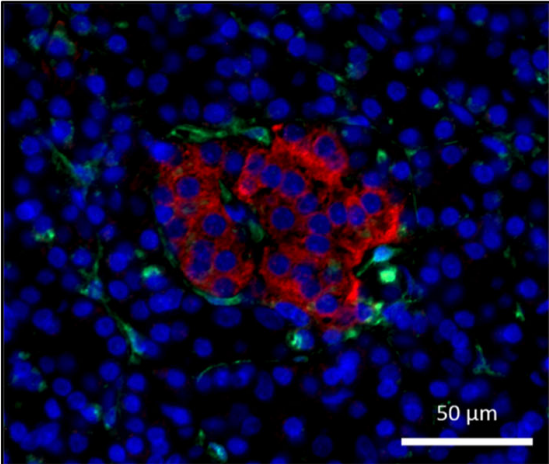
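Pancreatic tissue with an islet at centre: a compact cluster of rounded cells with red cytoplasm and central round blue nuclei, divided by a narrow cleft into two lobes. Around it lie densely packed blue nuclei of the surrounding tissue with no red. Thin, elongated green cells with slender processes run between these surrounding cells; several hug the border of the red cluster and some line the cleft. A bright, compact green cell sits at the right edge of the cluster. Elsewhere green cells are scattered sparsely as short threads and small bright bodies.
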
